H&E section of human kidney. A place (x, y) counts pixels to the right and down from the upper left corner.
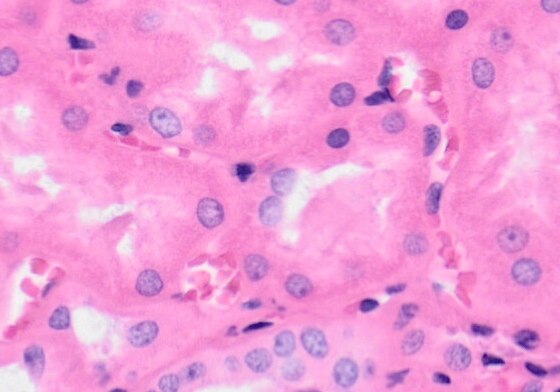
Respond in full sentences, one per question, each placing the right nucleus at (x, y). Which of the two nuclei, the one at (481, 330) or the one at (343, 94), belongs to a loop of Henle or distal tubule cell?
Located at (481, 330), this nucleus is the one belonging to a loop of Henle or distal tubule cell.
